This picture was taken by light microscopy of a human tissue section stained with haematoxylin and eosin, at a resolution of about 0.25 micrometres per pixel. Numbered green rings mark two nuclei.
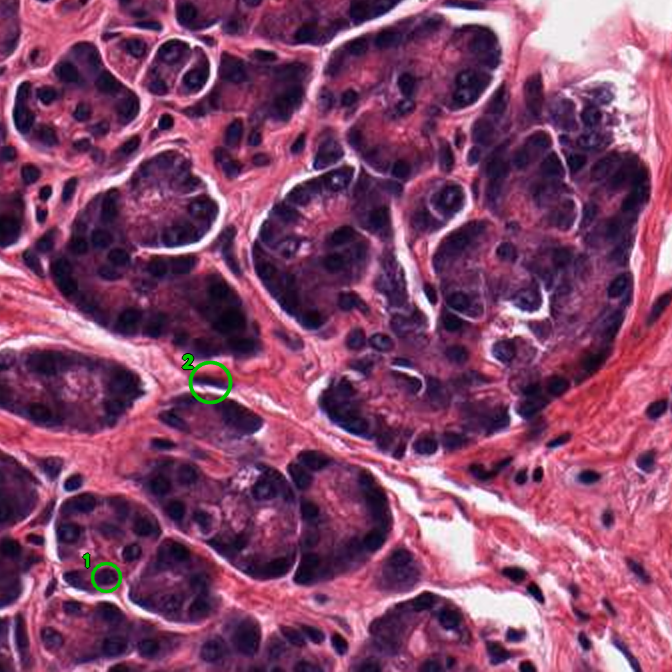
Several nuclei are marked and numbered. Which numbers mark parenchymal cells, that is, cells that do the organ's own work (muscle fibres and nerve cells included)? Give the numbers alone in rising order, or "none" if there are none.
1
